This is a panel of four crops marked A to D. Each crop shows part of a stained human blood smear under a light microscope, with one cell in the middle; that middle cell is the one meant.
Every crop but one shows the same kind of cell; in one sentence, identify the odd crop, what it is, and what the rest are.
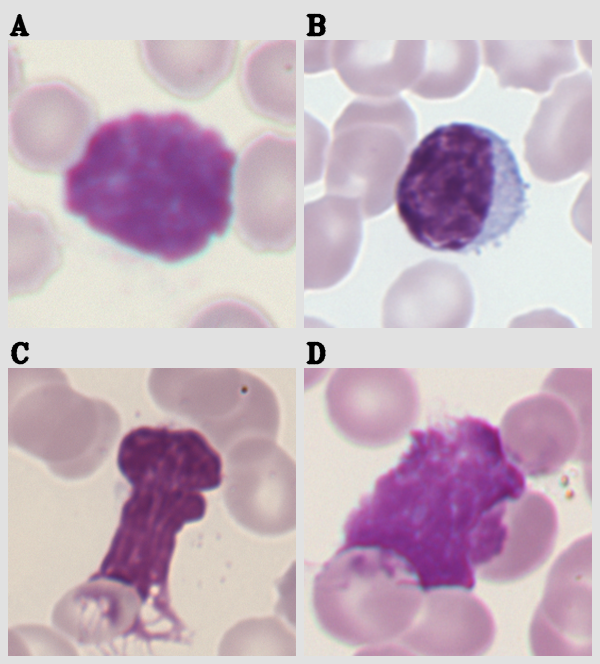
Crop B breaks the pattern with a typical lymphocyte; all the others show smudge cells.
